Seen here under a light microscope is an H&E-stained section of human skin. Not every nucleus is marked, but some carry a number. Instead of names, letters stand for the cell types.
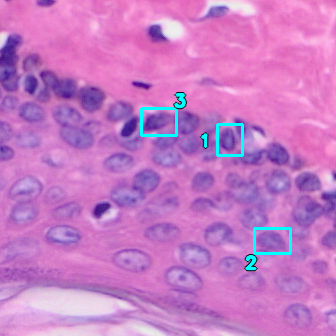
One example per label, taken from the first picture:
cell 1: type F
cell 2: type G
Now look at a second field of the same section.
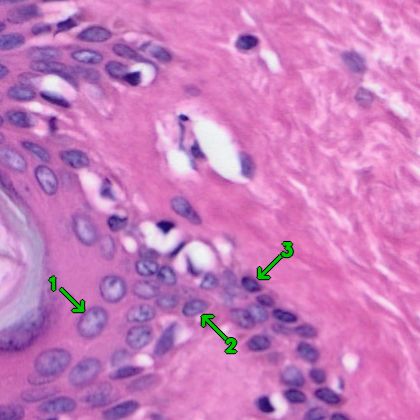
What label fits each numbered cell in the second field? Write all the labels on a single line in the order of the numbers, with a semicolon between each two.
type G; type F; type F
